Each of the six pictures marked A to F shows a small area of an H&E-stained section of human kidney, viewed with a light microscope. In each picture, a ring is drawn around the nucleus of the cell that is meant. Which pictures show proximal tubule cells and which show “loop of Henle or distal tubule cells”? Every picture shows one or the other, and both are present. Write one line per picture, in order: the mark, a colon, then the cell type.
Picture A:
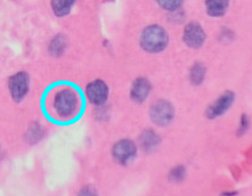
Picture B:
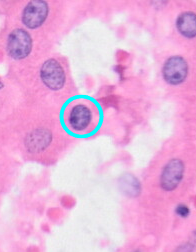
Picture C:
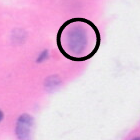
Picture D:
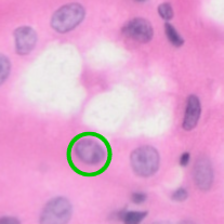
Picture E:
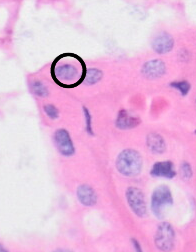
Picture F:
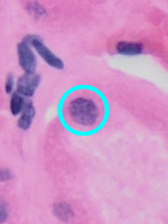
A: loop of Henle or distal tubule cell
B: proximal tubule cell
C: loop of Henle or distal tubule cell
D: proximal tubule cell
E: loop of Henle or distal tubule cell
F: proximal tubule cell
